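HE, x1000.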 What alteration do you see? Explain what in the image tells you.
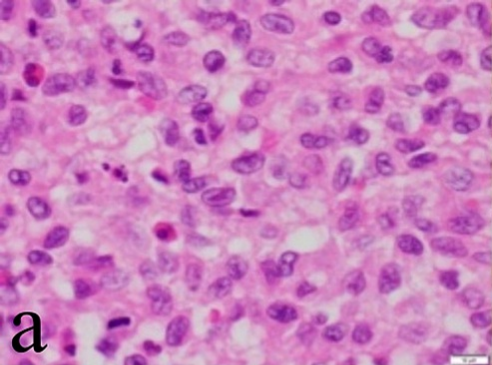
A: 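Many oval nuclei show an indentation or groove along their outline. The nuclei have pale, finely distributed chromatin. That points to this answer: nuclear notch.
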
